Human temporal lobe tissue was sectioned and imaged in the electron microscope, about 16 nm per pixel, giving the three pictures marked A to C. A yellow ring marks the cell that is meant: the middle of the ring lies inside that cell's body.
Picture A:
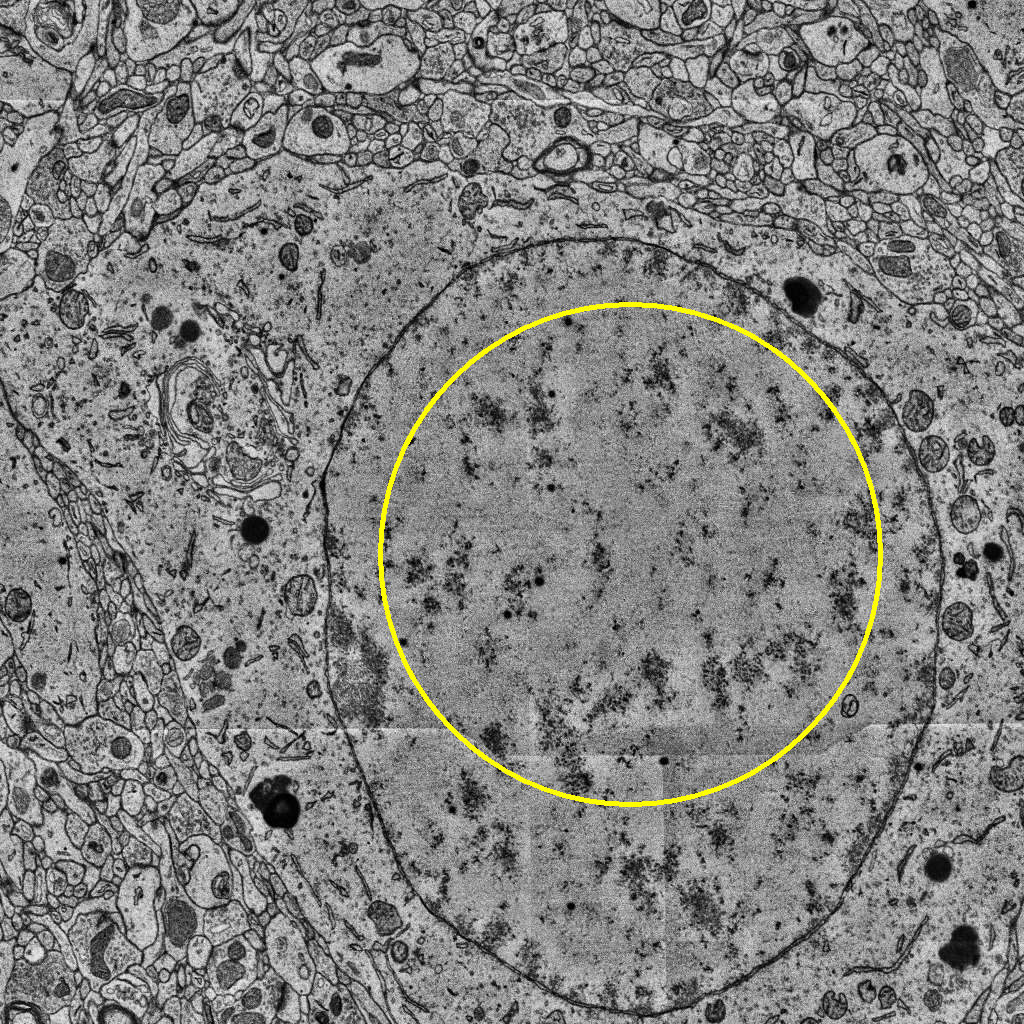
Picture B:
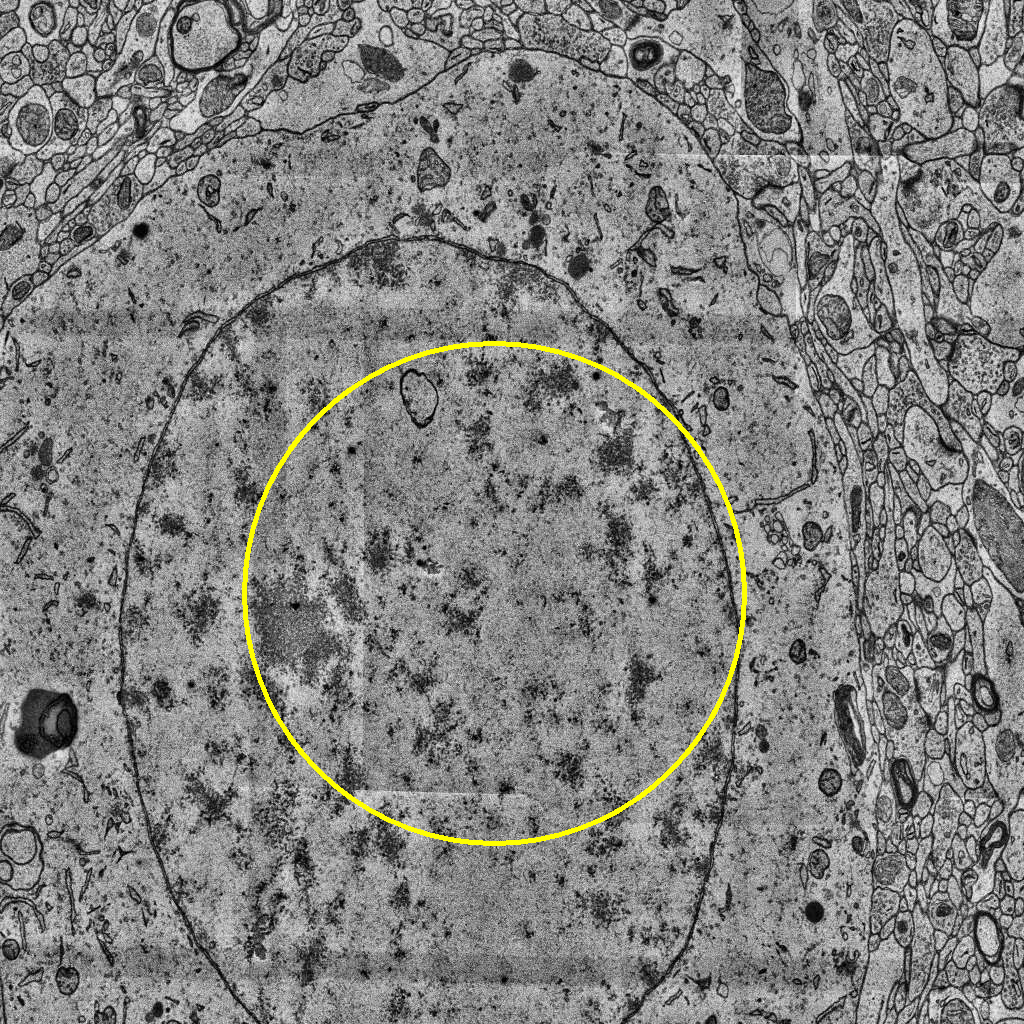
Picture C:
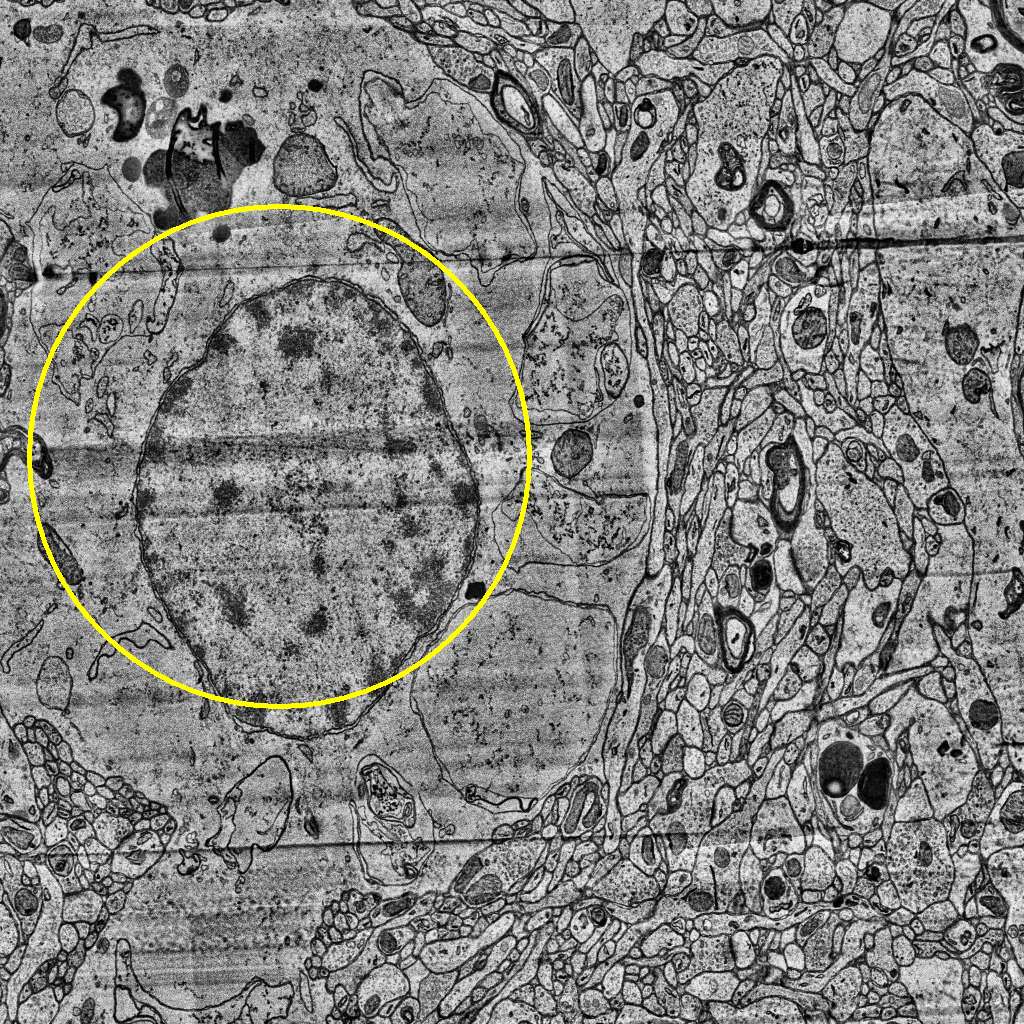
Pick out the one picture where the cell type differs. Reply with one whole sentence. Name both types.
The different one is picture C; it shows an astrocyte, whereas all the others show pyramidal neurons.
